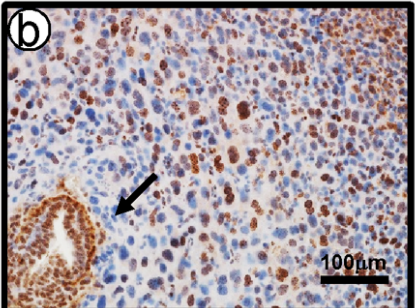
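In the lower left a compact ring of closely set cells, nearly all with brown nuclei, surrounds a narrow slit-like lumen. The arrow points to the edge of this ring, where it meets the surrounding stroma.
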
